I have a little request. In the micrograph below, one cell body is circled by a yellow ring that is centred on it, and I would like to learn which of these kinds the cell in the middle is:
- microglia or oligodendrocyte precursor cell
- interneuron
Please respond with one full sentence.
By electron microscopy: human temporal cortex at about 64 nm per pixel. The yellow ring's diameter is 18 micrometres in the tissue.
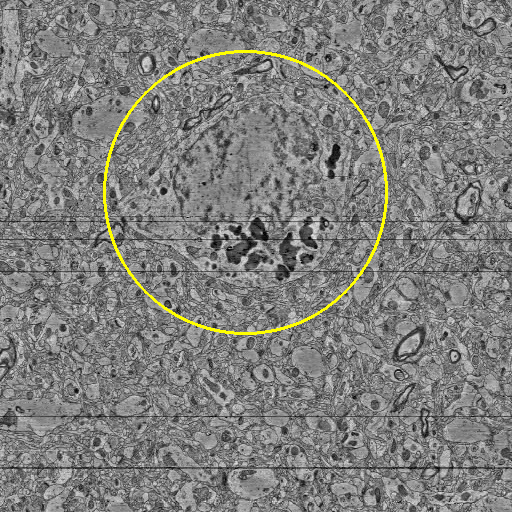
The cell sitting in the middle of the yellow ring in the micrograph is an interneuron.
